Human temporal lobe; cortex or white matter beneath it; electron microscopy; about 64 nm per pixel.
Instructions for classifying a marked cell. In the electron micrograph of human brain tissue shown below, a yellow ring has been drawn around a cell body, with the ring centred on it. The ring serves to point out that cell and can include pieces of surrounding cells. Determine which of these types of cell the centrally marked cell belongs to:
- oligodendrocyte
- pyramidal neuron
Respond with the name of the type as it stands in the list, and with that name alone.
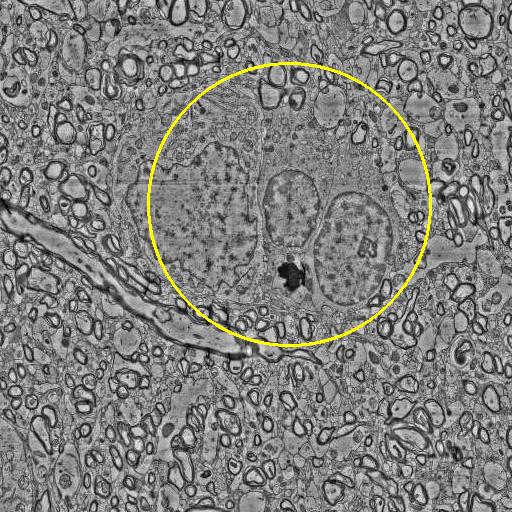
oligodendrocyte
